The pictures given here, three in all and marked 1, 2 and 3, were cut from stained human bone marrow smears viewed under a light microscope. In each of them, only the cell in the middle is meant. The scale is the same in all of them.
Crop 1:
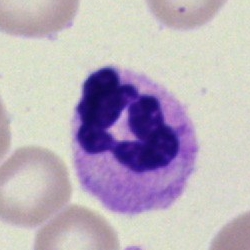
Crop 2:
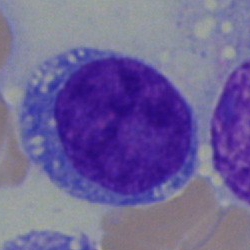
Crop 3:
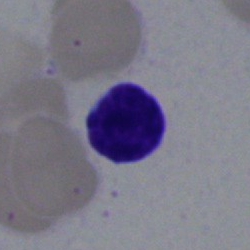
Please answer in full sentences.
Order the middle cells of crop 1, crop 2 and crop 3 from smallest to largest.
Going up, they run 3, 1, 2.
